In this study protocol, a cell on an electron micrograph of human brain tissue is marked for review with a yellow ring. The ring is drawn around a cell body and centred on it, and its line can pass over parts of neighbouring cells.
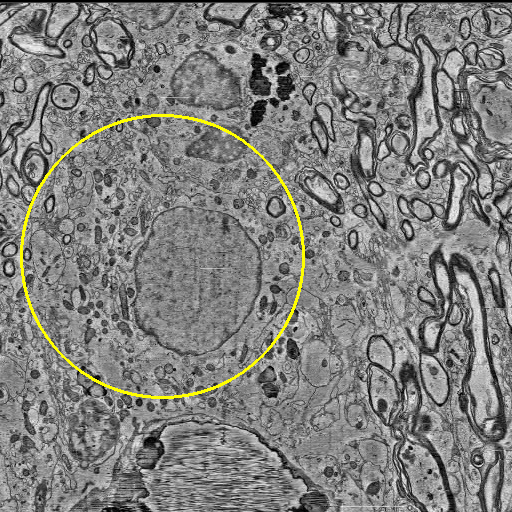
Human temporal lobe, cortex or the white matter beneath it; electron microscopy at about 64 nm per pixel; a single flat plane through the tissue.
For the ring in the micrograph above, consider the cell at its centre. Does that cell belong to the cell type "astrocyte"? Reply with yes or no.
yes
